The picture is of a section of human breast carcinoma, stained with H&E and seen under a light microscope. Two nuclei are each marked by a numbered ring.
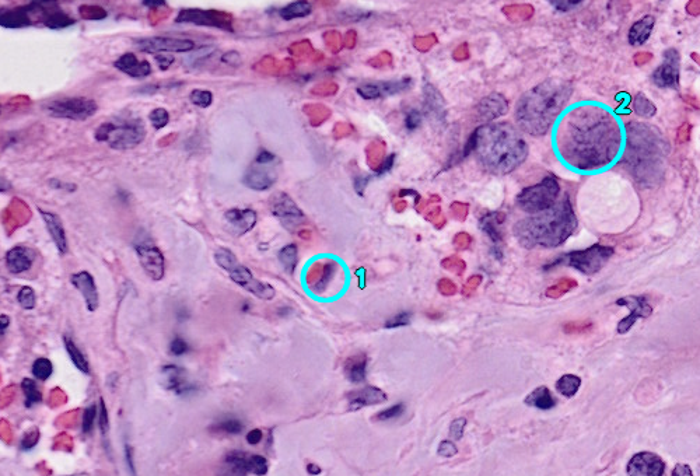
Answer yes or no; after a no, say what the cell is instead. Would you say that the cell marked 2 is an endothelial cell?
No, it is a carcinoma cell.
